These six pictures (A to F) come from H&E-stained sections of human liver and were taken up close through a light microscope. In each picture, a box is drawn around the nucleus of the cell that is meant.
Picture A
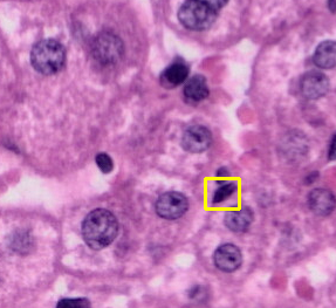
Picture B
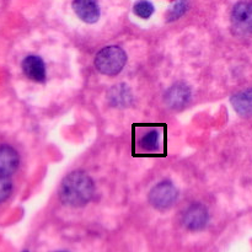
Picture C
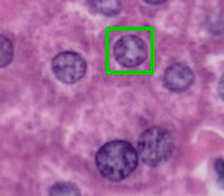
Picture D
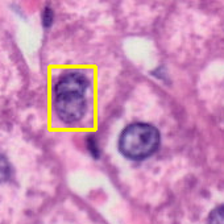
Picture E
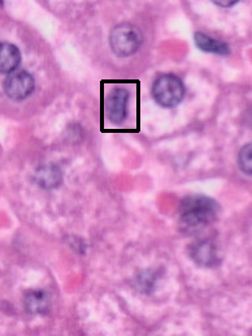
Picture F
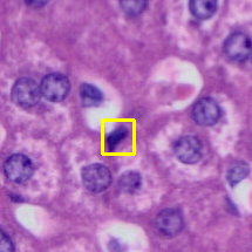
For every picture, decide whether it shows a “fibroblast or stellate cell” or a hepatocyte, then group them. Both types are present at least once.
A: fibroblast or stellate cell
B: fibroblast or stellate cell
C: hepatocyte
D: hepatocyte
E: fibroblast or stellate cell
F: fibroblast or stellate cell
